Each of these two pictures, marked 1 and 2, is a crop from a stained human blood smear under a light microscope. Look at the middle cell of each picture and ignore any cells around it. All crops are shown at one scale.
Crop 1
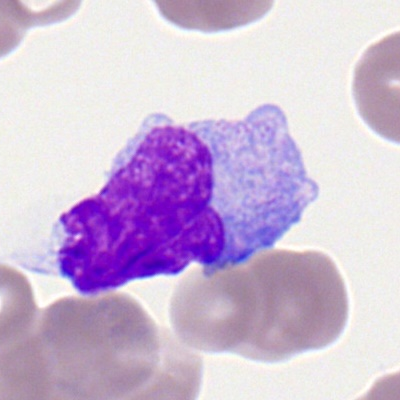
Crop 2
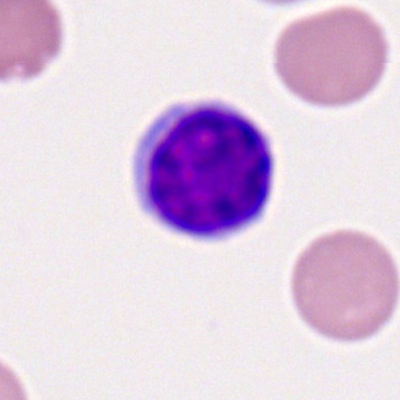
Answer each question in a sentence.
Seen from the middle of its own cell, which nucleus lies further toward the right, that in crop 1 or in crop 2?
In crop 2 the nucleus is shifted more toward the right.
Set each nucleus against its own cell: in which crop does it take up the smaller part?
The nucleus fills less of the cell in crop 1 than in crop 2.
